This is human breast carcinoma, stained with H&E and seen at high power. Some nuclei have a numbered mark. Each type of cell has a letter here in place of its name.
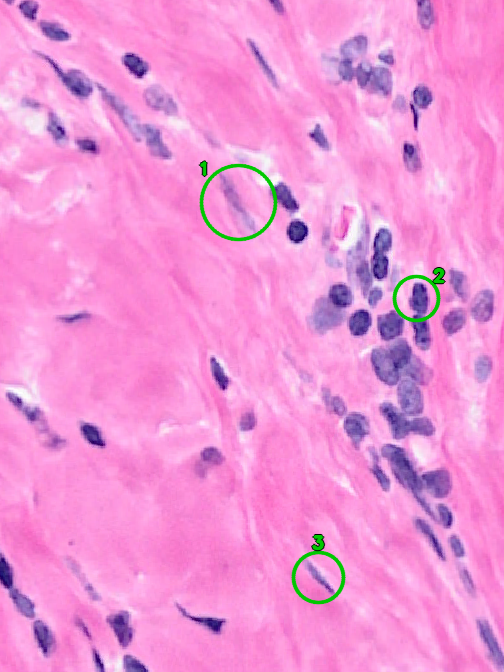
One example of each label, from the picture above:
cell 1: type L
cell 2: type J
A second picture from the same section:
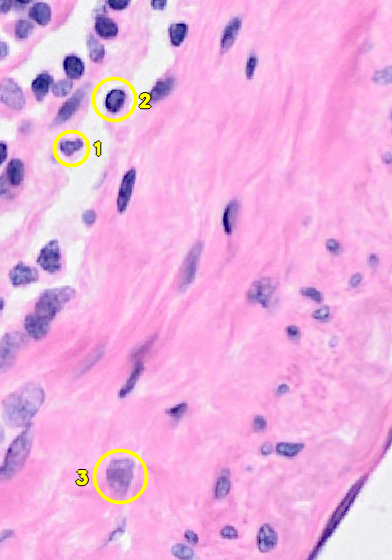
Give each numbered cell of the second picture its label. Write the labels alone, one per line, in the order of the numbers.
type J
type J
type L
